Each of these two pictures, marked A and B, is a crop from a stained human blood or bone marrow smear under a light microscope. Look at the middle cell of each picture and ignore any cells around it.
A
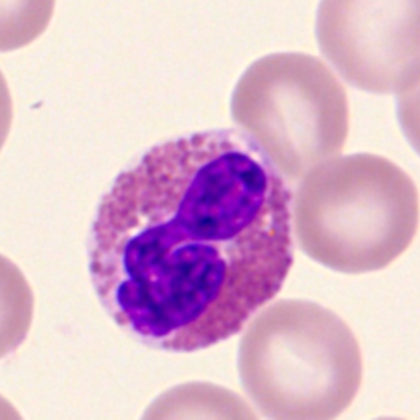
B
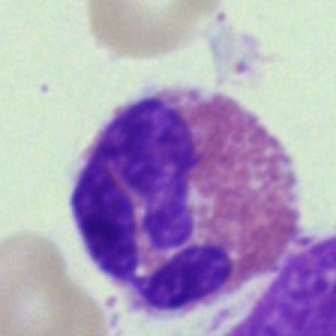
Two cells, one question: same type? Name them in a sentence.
Yes, for both crops, the central cells are eosinophils.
